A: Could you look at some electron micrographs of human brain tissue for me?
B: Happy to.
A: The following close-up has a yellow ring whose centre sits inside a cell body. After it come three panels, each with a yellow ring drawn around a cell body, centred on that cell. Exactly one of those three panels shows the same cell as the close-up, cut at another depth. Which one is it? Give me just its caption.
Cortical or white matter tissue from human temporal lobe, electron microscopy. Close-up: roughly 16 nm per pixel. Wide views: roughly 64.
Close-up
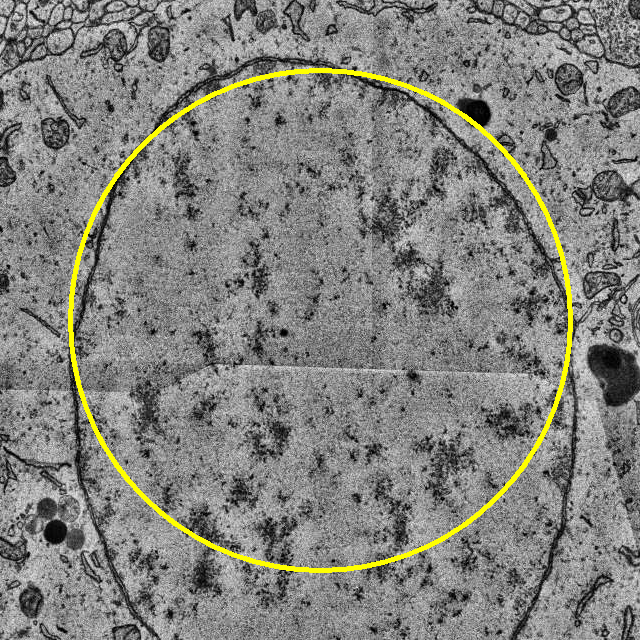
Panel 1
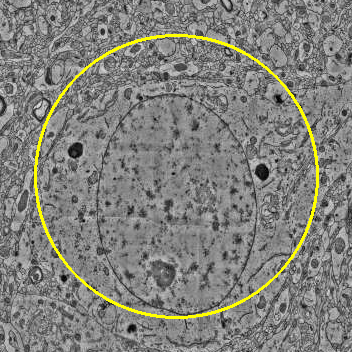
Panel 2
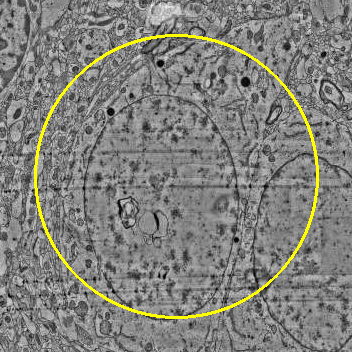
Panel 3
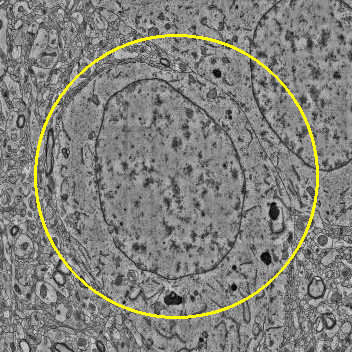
Panel 1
